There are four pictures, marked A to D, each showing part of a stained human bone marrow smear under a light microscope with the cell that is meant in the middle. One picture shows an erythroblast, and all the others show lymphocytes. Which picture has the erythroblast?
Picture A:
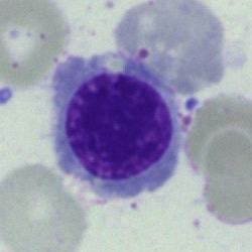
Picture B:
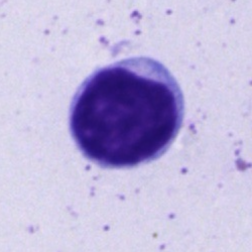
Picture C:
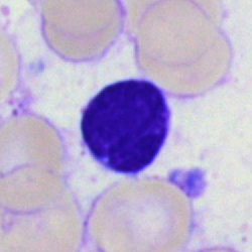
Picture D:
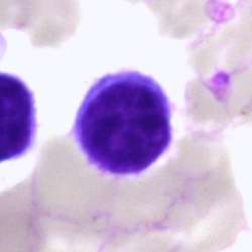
A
